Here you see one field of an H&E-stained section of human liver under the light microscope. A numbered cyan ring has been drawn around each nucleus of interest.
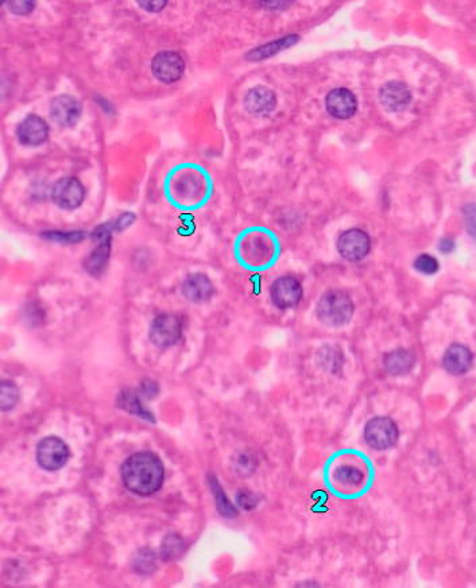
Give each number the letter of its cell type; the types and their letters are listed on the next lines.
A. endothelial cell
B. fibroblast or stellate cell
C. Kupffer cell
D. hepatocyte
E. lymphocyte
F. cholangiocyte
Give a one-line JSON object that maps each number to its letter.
{"1": "D", "2": "E", "3": "D"}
